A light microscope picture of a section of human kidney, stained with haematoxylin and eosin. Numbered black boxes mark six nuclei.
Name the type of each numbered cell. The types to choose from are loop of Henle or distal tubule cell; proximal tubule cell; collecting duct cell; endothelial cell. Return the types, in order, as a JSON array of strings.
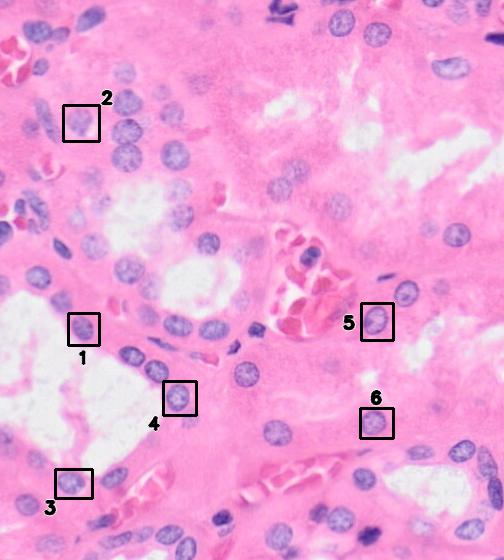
["loop of Henle or distal tubule cell", "loop of Henle or distal tubule cell", "loop of Henle or distal tubule cell", "loop of Henle or distal tubule cell", "proximal tubule cell", "proximal tubule cell"]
